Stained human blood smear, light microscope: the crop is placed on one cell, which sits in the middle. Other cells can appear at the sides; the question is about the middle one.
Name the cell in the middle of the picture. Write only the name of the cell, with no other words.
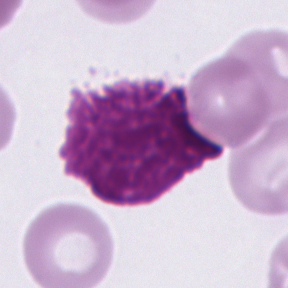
smudge cell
